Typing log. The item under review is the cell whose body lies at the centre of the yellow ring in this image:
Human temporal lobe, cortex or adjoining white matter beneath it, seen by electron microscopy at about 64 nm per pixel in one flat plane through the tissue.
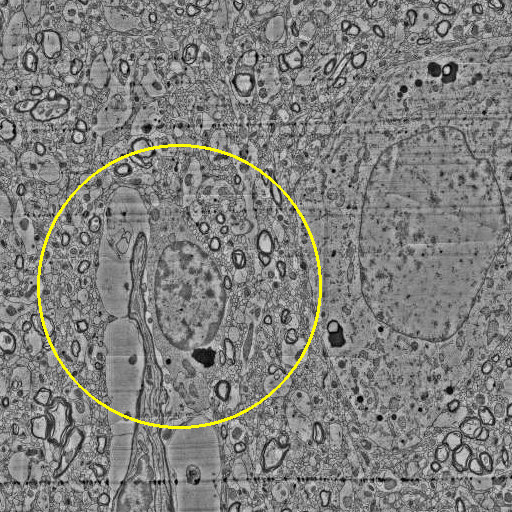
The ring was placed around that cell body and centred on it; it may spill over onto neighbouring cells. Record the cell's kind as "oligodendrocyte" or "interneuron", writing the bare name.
oligodendrocyte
